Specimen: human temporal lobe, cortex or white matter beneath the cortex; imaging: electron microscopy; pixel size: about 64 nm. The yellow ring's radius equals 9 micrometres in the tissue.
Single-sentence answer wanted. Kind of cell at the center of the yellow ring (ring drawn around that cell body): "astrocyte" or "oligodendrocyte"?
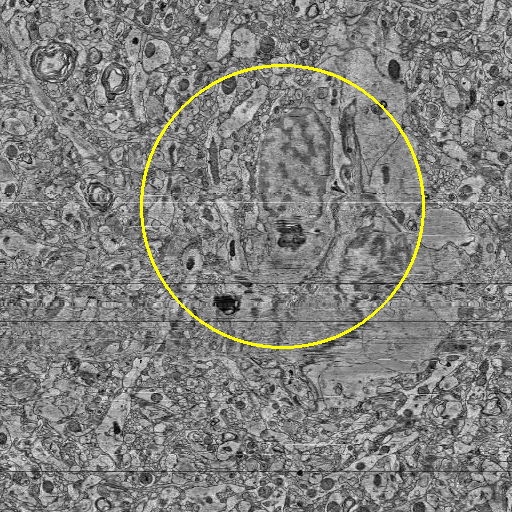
The cell centered in the ring is an oligodendrocyte.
